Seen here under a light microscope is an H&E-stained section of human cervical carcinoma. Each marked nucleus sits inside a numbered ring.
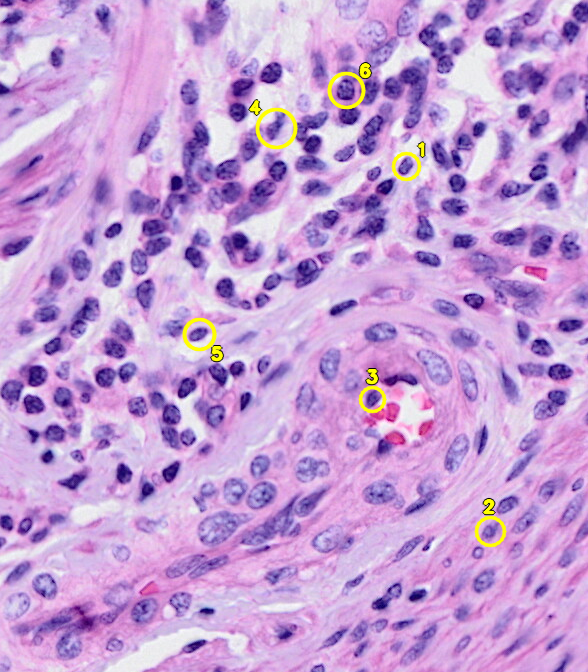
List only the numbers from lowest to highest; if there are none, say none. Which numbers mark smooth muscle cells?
2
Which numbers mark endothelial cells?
3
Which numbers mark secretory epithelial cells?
none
